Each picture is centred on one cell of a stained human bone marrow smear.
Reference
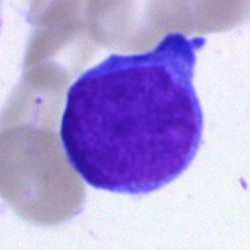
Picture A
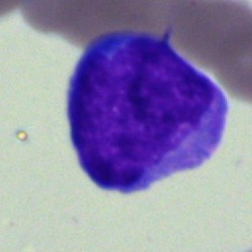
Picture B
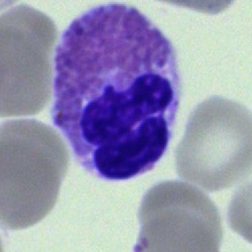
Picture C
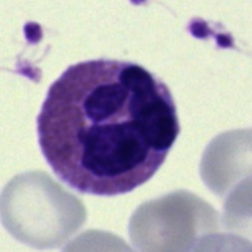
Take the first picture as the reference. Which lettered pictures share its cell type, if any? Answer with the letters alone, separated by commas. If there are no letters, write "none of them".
A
